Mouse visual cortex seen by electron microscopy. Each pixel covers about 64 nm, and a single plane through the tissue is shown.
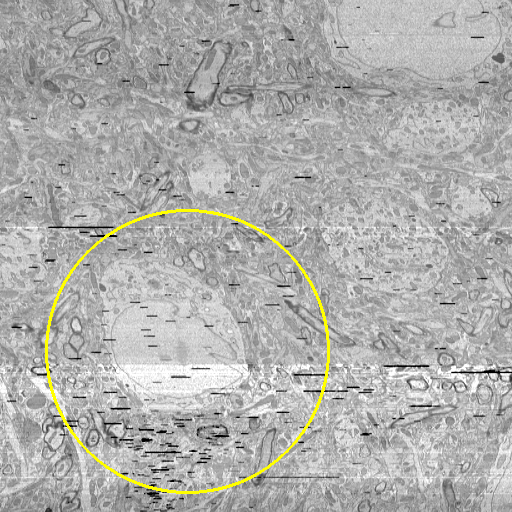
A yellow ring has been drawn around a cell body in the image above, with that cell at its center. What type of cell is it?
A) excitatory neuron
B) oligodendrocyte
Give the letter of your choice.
A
